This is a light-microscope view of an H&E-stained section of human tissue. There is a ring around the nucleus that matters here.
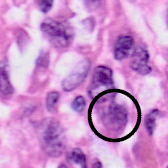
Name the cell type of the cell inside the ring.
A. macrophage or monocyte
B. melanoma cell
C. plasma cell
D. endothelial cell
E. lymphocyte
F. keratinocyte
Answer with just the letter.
B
